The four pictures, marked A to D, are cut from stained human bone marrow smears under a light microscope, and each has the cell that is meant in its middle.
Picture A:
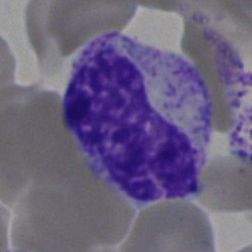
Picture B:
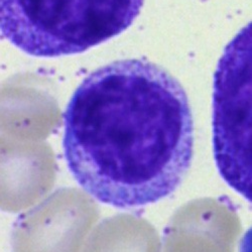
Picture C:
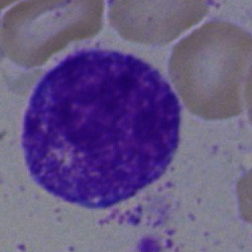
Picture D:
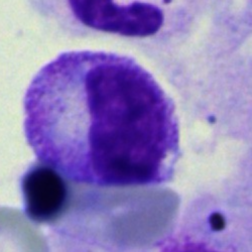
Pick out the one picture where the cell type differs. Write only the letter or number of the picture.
B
